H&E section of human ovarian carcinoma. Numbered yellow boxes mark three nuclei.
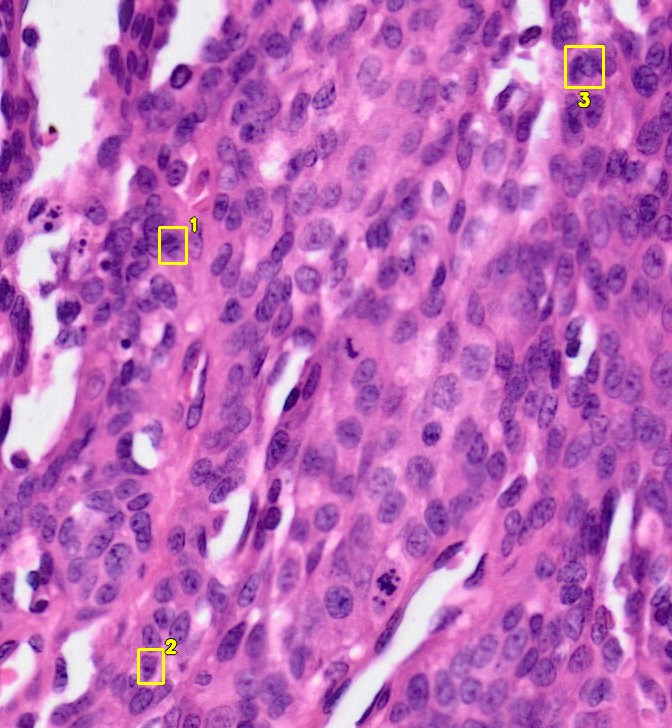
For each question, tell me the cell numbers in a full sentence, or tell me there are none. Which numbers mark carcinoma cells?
So, the cells with numbers 1 and 3 are carcinoma cells.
